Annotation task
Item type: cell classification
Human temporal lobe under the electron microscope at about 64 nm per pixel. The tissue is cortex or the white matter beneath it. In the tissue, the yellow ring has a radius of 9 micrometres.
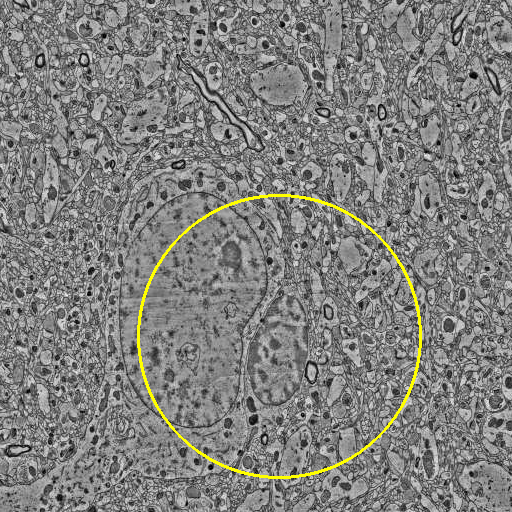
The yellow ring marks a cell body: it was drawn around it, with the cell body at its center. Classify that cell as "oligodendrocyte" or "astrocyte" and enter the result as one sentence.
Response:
The ring's center falls on an oligodendrocyte.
